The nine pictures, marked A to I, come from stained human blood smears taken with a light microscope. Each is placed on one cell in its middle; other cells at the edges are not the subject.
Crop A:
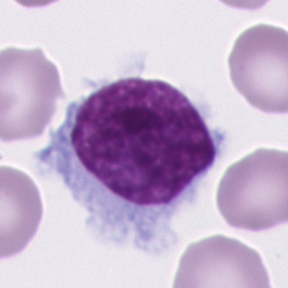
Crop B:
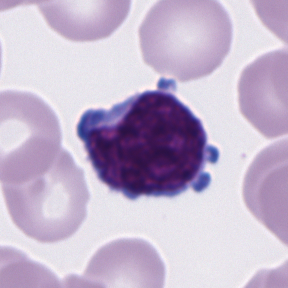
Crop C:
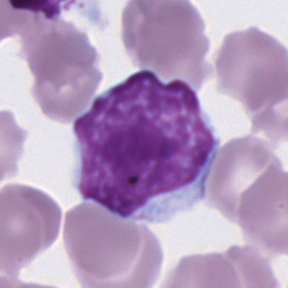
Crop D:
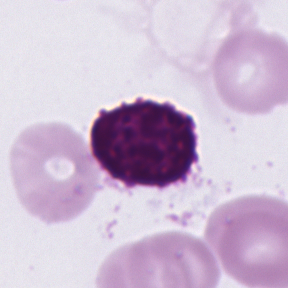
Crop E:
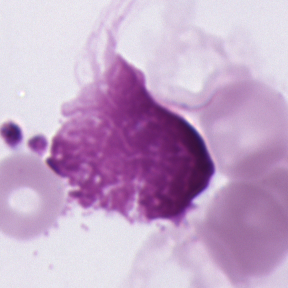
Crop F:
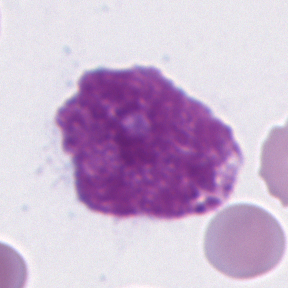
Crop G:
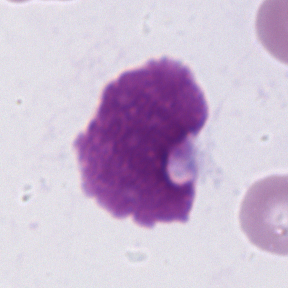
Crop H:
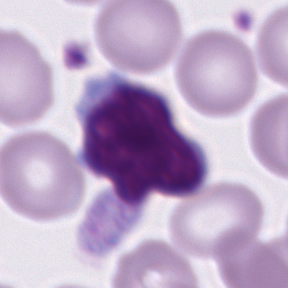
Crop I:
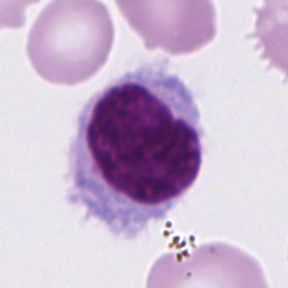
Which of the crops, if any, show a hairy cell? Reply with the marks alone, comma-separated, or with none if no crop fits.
A, I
